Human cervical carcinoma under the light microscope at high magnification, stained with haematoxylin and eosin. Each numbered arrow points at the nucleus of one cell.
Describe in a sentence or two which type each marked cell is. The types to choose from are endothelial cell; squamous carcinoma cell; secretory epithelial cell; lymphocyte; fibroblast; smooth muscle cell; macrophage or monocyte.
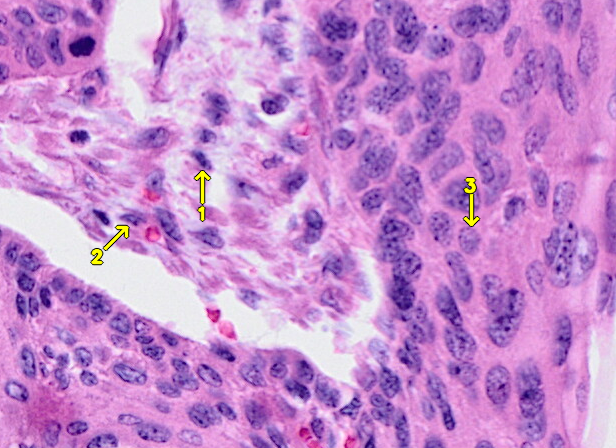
Cell 1 is a lymphocyte. Cell 2 is an endothelial cell. Cell 3 is a squamous carcinoma cell.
